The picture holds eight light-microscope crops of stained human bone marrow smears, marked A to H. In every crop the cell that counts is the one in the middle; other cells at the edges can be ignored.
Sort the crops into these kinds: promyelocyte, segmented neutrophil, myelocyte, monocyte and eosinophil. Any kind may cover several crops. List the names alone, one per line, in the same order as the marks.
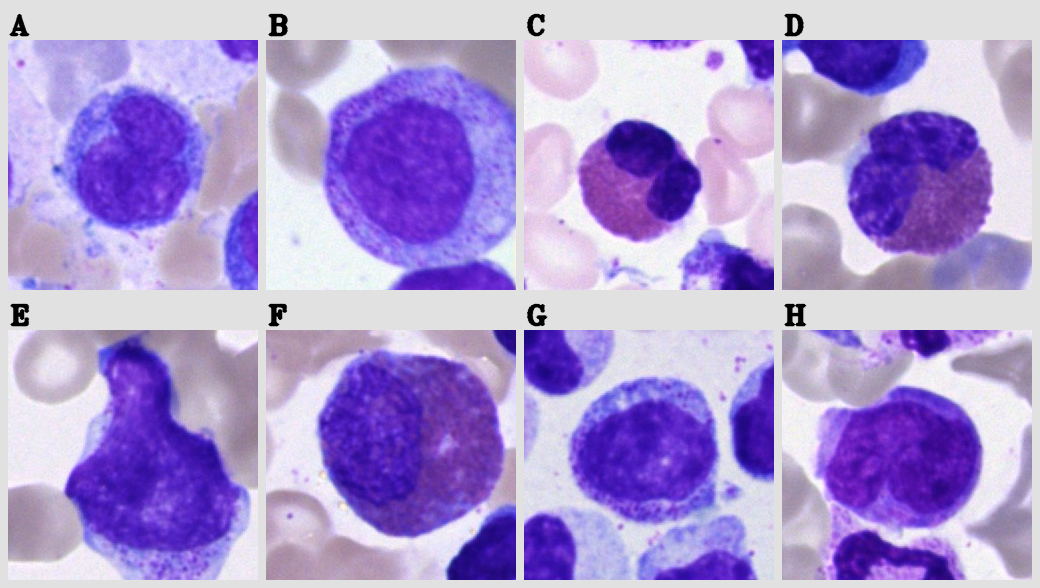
monocyte
myelocyte
eosinophil
eosinophil
promyelocyte
eosinophil
myelocyte
monocyte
